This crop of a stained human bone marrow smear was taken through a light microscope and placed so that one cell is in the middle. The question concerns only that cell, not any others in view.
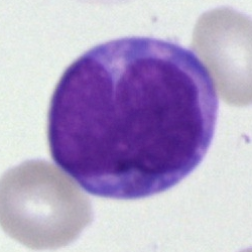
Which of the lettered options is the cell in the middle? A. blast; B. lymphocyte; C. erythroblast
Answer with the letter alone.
A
